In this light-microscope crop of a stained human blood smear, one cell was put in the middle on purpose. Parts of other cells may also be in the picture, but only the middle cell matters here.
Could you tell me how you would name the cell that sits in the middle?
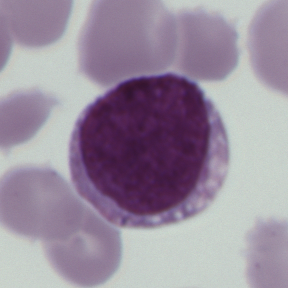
myeloblast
